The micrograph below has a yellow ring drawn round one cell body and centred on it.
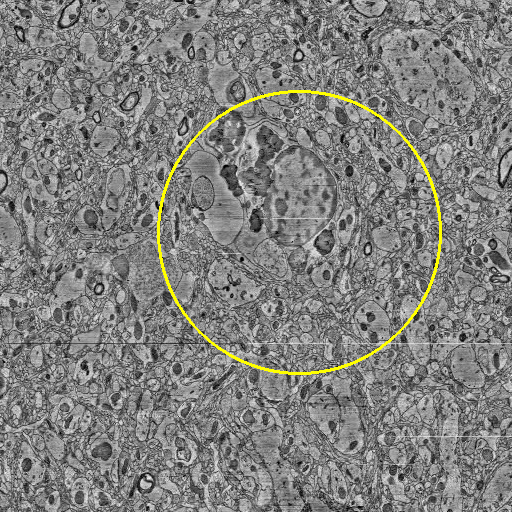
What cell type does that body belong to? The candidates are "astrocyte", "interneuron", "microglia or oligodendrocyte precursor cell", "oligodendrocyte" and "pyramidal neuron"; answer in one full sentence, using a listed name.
This is a microglial cell or oligodendrocyte precursor cell, the cell whose body lies at the centre of the ring.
